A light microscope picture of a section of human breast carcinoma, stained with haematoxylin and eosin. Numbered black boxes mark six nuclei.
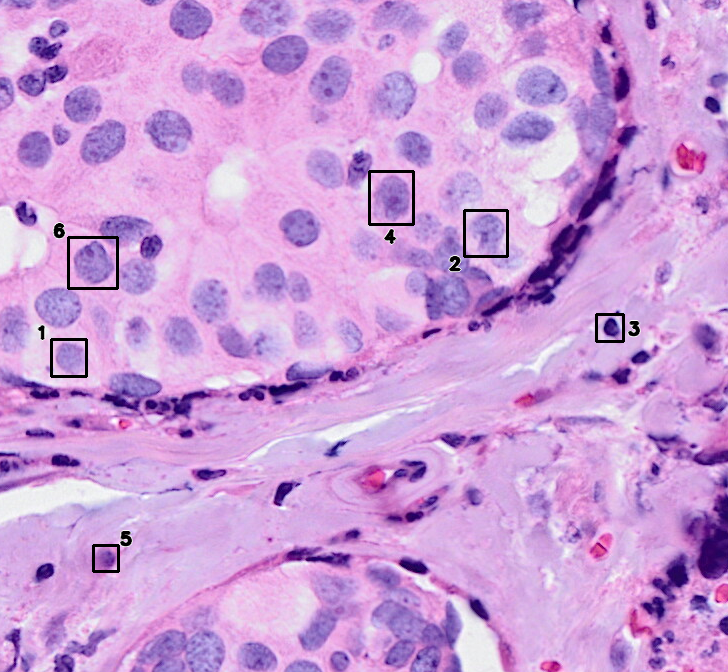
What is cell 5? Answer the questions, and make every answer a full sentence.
Within this field of view, the cell labelled 5 is a mast cell.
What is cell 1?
Cell 1, as marked in the section, is a carcinoma cell.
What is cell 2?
The cell pointed out as number 2 is a carcinoma cell.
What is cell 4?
Corresponding to a carcinoma cell is the cell labelled 4.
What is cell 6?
The cell that goes by number 6 is a carcinoma cell.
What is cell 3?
The nucleus labelled 3 belongs to a lymphocyte.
